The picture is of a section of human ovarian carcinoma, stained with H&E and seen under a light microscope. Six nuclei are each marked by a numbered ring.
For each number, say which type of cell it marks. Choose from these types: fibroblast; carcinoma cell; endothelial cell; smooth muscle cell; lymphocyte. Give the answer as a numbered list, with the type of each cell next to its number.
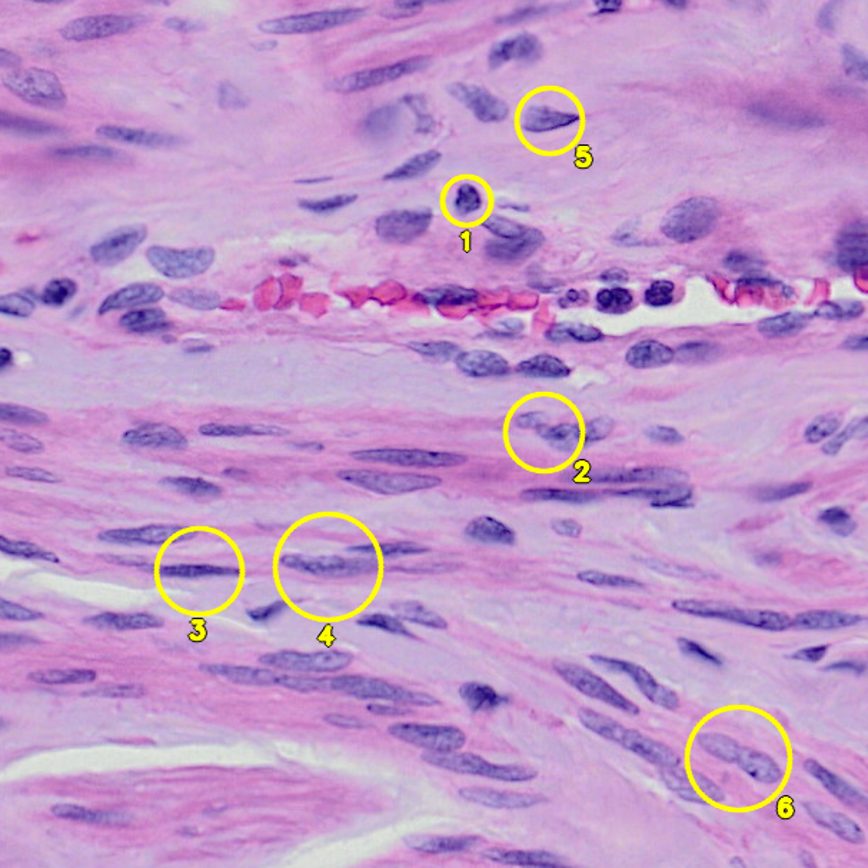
1. lymphocyte
2. smooth muscle cell
3. smooth muscle cell
4. smooth muscle cell
5. fibroblast
6. smooth muscle cell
